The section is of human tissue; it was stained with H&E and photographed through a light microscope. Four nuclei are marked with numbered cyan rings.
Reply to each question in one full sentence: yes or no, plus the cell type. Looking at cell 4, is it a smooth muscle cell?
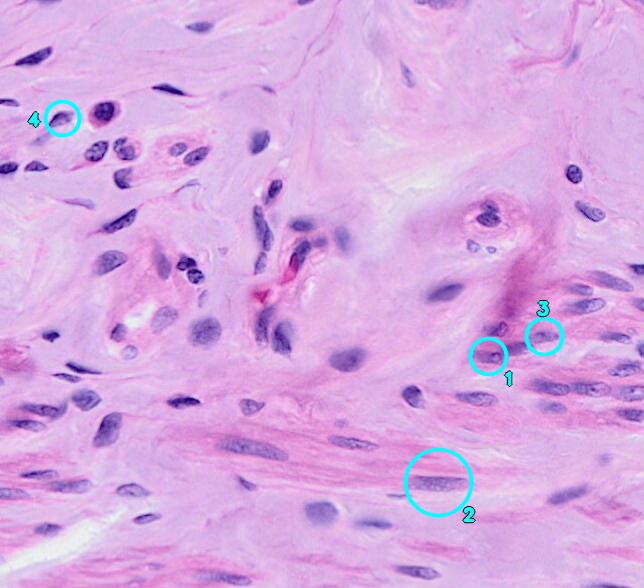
No, the cell labelled 4 is a fibroblast and not a smooth muscle cell.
